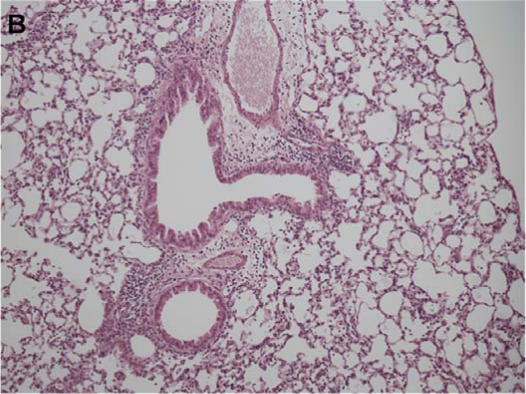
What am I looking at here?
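This is lung tissue showing airways with a blood vessel packed with red cells, surrounded by alveolar parenchyma. The airways are lined by a folded, pink-staining epithelium resting on a thin muscular wall. Around the airways and the vessel, the connective tissue is crowded with small dark nuclei, forming cuffs of infiltrating cells.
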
